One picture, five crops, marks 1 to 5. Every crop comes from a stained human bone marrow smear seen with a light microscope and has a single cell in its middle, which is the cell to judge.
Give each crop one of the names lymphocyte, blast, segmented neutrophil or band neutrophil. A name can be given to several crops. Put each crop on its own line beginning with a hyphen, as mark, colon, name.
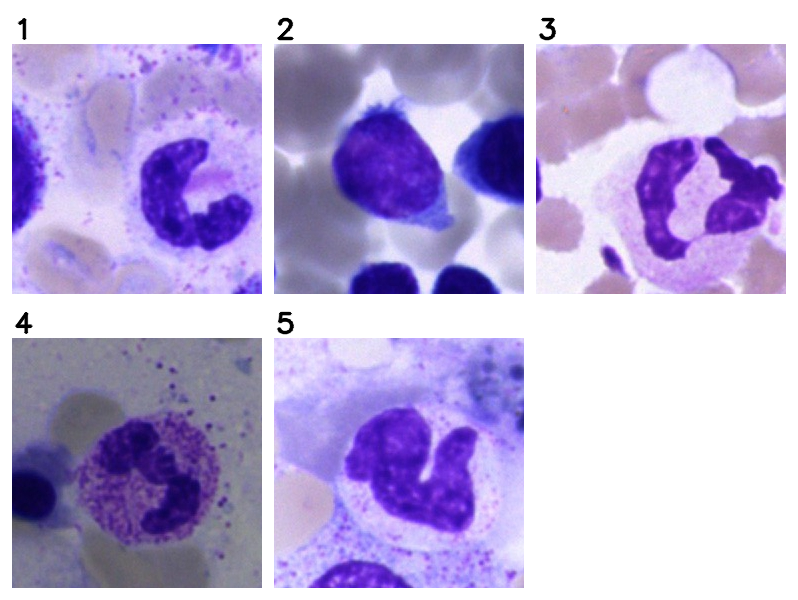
- 1: band neutrophil
- 2: lymphocyte
- 3: segmented neutrophil
- 4: segmented neutrophil
- 5: band neutrophil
